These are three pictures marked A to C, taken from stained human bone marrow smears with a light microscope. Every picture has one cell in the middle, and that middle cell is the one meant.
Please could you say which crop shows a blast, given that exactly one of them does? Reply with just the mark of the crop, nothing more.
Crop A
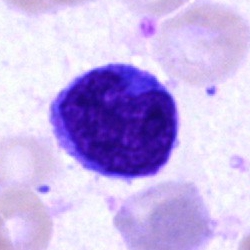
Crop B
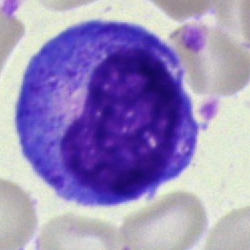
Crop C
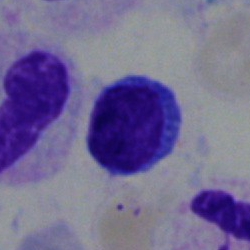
A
